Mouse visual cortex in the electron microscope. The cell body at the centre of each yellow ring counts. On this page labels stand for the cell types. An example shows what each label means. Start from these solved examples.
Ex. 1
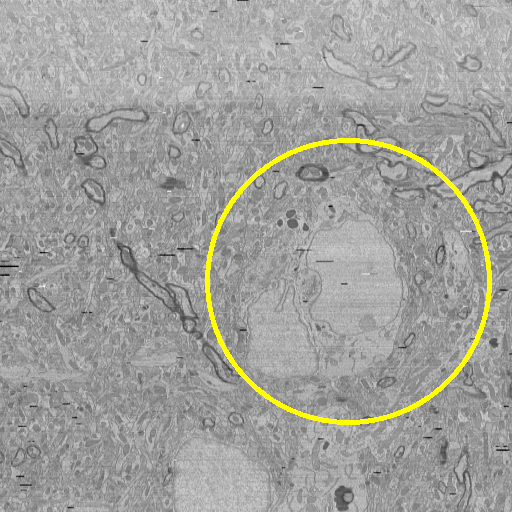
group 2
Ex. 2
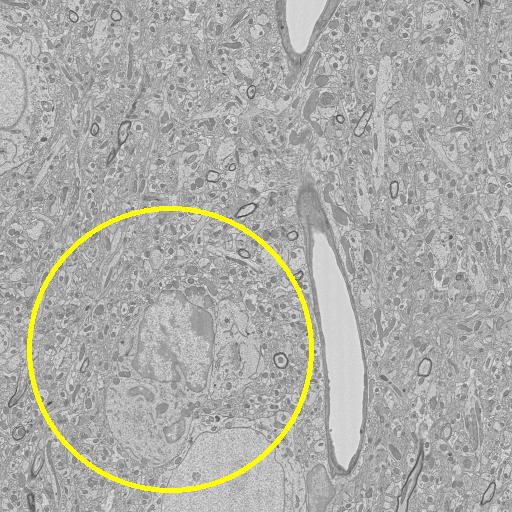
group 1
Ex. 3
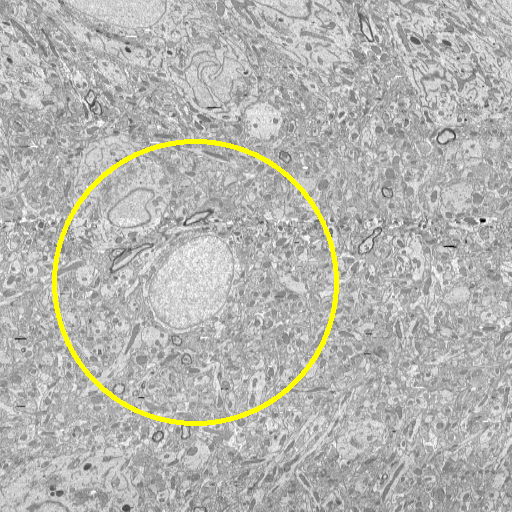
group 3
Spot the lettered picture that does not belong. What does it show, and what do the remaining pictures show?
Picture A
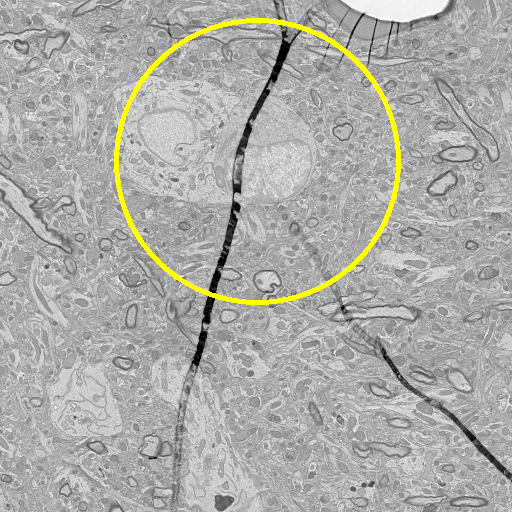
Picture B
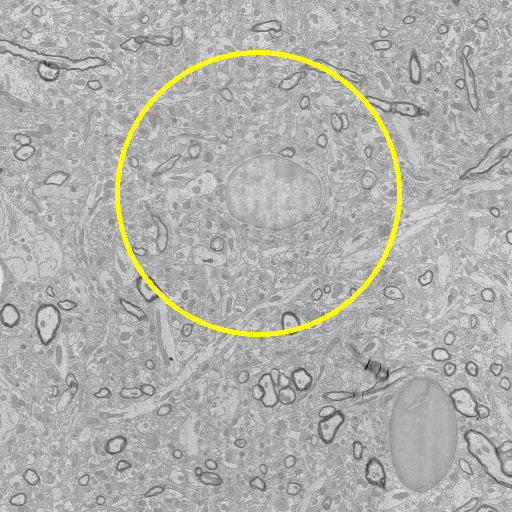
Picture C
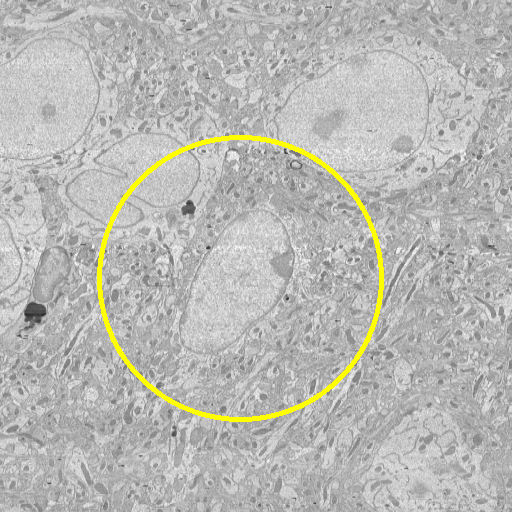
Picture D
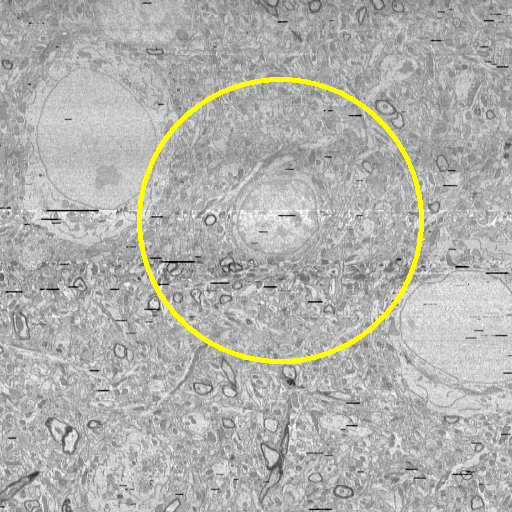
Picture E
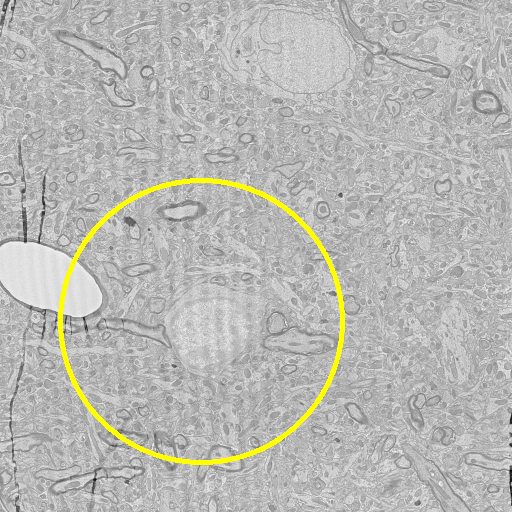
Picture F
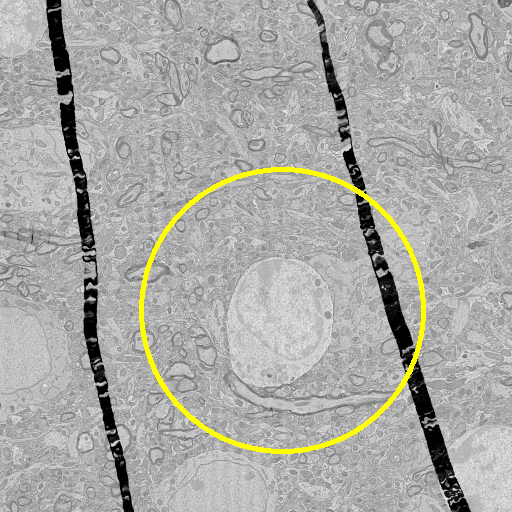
C (group 3) is the exception; every other picture is group 1.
